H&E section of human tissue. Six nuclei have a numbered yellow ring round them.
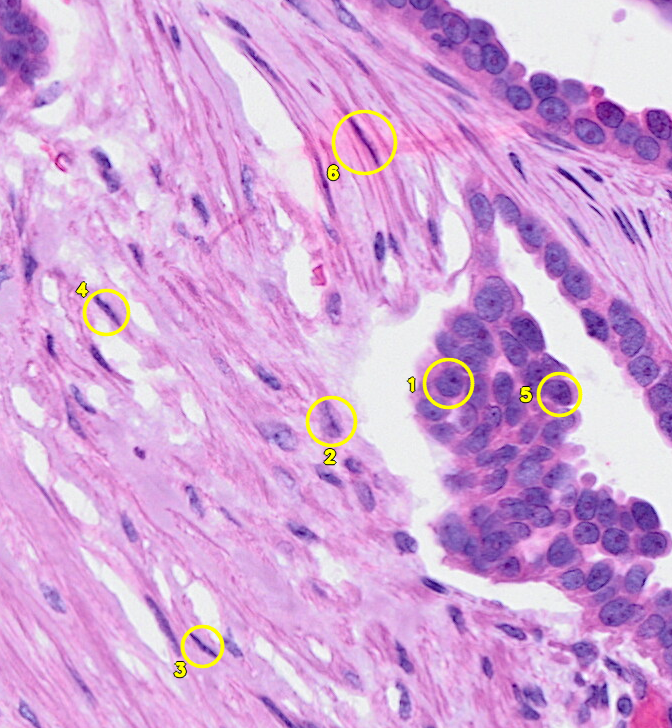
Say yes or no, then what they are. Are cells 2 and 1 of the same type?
No, cell 2 is a fibroblast and cell 1 is a carcinoma cell.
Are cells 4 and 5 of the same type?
No, cell 4 is a fibroblast and cell 5 is a carcinoma cell.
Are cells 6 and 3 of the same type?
Yes, both are fibroblasts.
